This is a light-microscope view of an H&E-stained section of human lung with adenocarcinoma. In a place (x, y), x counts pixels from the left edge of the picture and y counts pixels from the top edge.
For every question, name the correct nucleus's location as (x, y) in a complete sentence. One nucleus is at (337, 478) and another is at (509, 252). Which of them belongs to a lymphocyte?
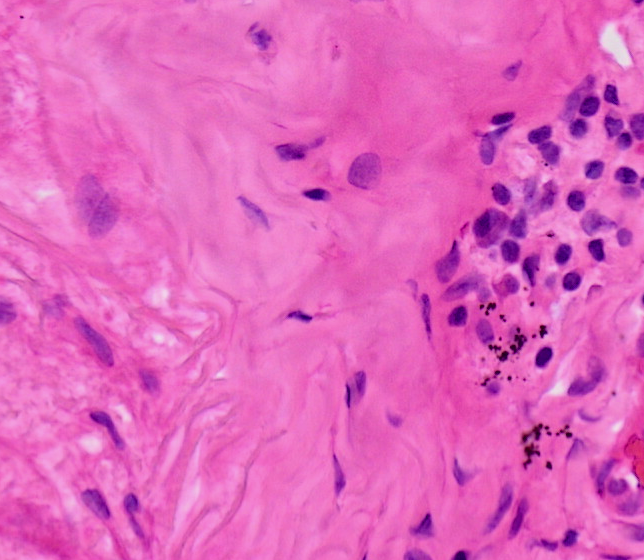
The nucleus lying at (509, 252) is the nucleus of a lymphocyte.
